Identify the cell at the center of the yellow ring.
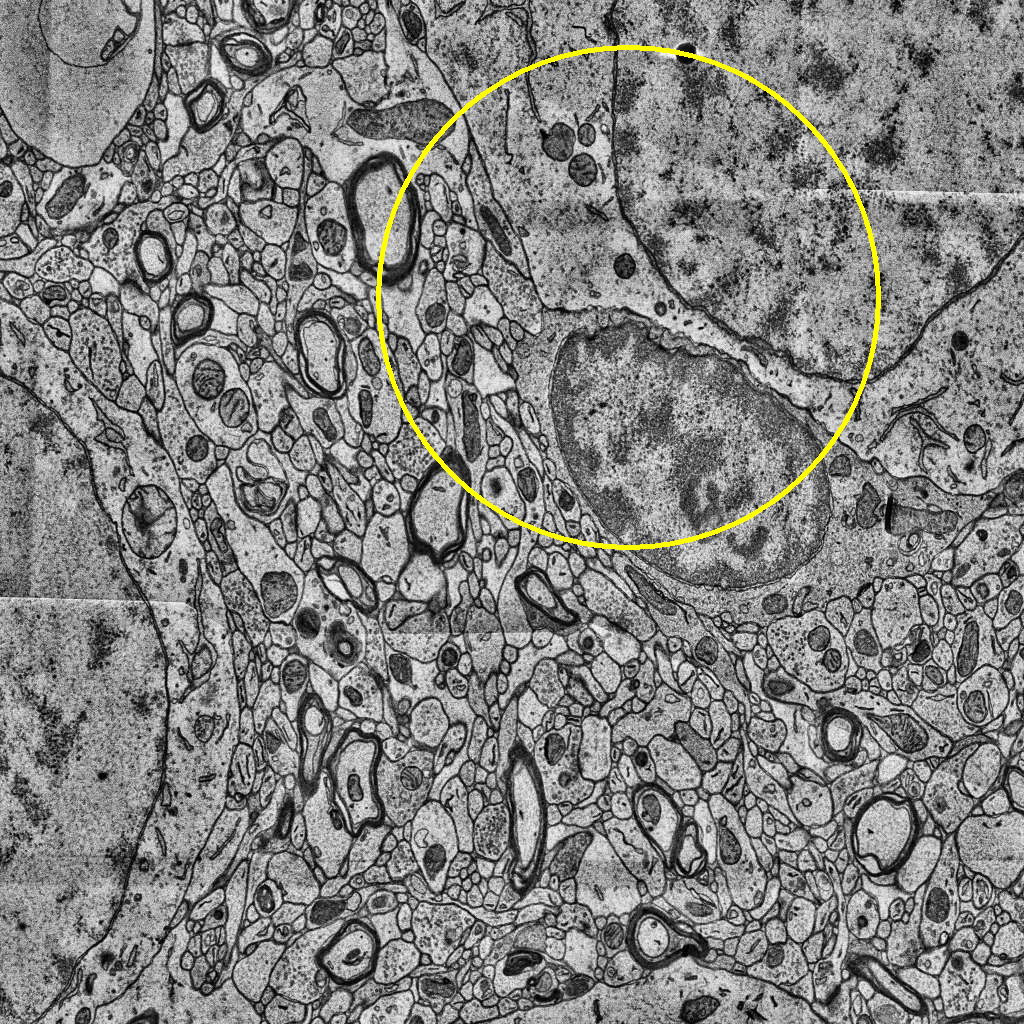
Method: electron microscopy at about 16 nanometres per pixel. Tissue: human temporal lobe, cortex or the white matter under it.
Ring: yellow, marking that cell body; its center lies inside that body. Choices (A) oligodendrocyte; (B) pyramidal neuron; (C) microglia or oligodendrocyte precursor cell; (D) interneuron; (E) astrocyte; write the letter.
A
